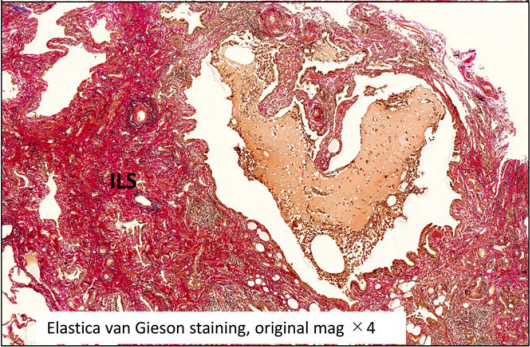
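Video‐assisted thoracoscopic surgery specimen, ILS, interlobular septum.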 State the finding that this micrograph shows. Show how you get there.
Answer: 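A large irregular airspace lies within dense red-stained fibrotic tissue. Smaller rounded spaces are seen around it.
Conclusion: Cystic changes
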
